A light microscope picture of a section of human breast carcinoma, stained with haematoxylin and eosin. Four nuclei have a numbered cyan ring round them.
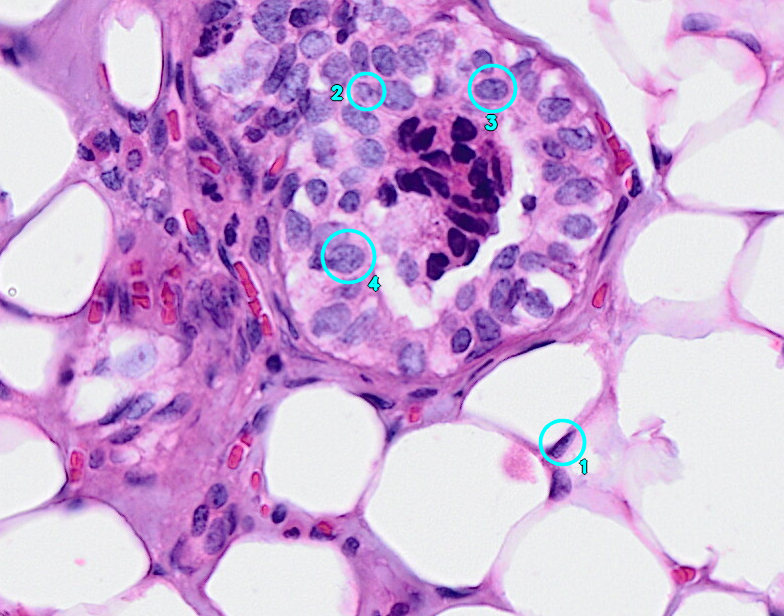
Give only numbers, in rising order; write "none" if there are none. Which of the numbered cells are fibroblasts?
1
